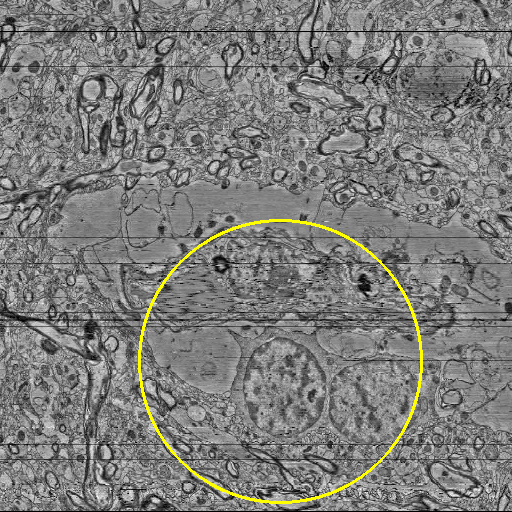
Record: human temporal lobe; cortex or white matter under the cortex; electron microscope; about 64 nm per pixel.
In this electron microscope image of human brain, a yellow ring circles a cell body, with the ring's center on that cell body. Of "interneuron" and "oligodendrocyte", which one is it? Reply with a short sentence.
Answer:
It is an oligodendrocyte at the center of the ring.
